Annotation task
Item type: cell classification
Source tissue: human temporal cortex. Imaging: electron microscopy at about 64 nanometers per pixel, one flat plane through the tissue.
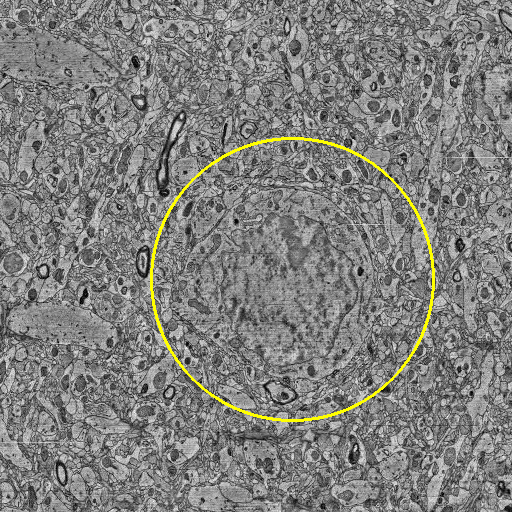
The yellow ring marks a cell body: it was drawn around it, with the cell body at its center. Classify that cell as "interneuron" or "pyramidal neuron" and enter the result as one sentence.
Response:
The ring's center falls on an interneuron.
